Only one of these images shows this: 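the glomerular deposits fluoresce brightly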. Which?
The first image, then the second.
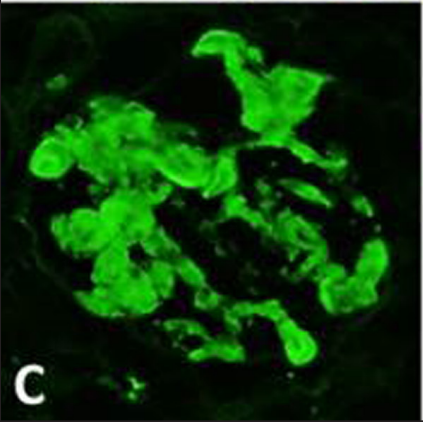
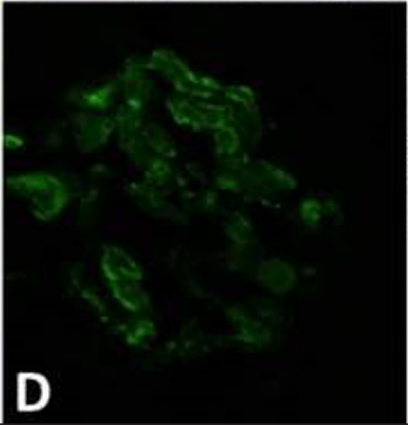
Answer: the first image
